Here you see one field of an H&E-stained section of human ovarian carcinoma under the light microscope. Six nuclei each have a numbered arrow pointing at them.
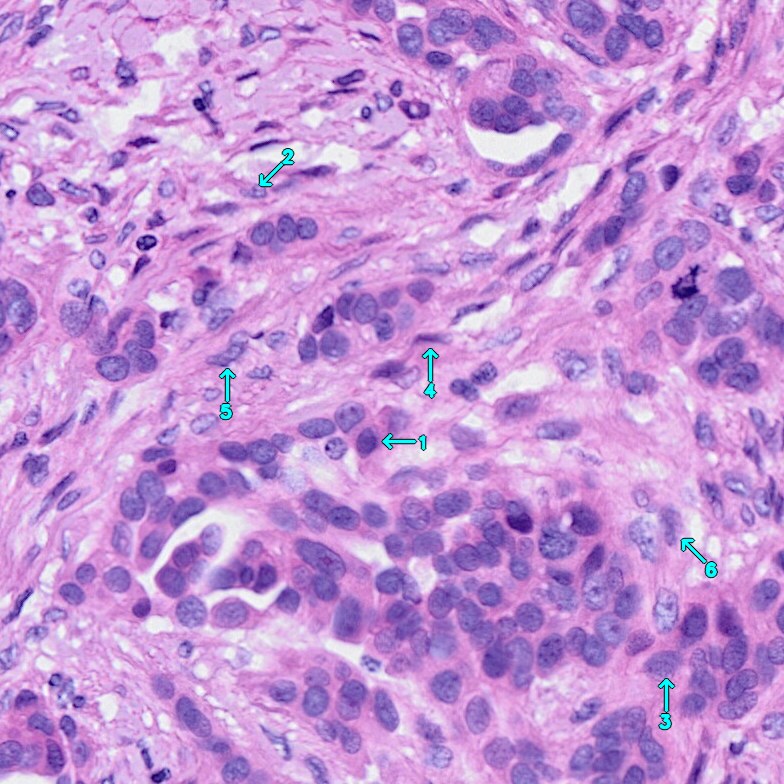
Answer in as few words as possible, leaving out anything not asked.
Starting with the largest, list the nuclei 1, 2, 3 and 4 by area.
3, 1, 4, 2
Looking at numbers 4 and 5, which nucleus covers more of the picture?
5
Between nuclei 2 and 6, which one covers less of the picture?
2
